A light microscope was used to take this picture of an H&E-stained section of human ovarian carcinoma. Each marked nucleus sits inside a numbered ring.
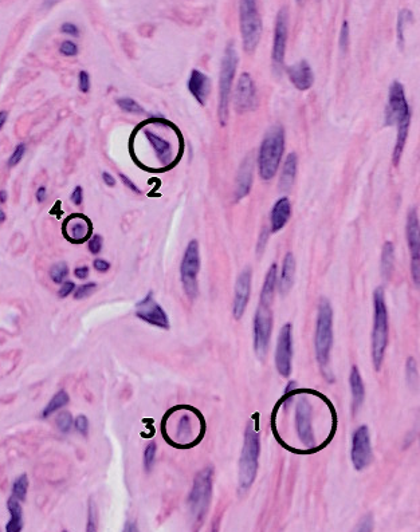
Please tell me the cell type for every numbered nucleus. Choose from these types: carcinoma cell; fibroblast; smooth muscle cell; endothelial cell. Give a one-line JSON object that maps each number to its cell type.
{"1": "smooth muscle cell", "2": "endothelial cell", "3": "smooth muscle cell", "4": "smooth muscle cell"}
